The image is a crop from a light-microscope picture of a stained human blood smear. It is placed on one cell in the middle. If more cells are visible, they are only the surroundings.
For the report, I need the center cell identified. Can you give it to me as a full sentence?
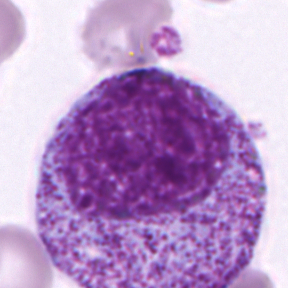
Here the cell in the middle is a promyelocyte.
